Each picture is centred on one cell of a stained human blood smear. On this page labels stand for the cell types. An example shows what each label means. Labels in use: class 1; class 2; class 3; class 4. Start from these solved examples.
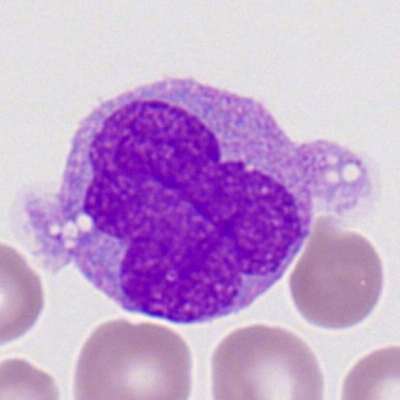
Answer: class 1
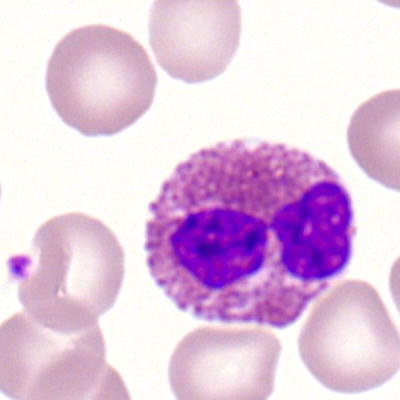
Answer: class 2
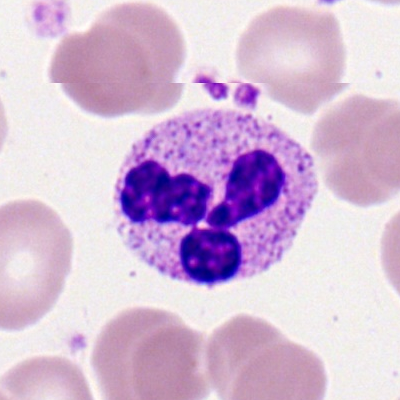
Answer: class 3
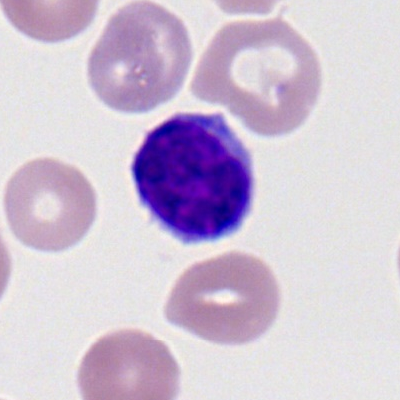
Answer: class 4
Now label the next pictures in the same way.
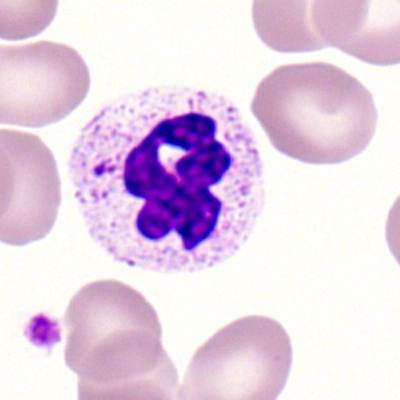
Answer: class 3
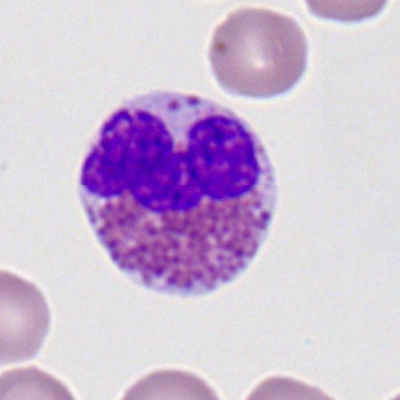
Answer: class 2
